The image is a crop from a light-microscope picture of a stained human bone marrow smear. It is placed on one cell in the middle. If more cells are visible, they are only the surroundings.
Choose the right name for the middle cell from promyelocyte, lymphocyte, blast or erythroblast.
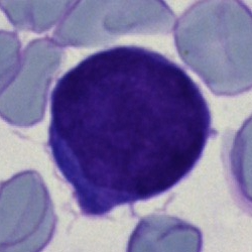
blast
